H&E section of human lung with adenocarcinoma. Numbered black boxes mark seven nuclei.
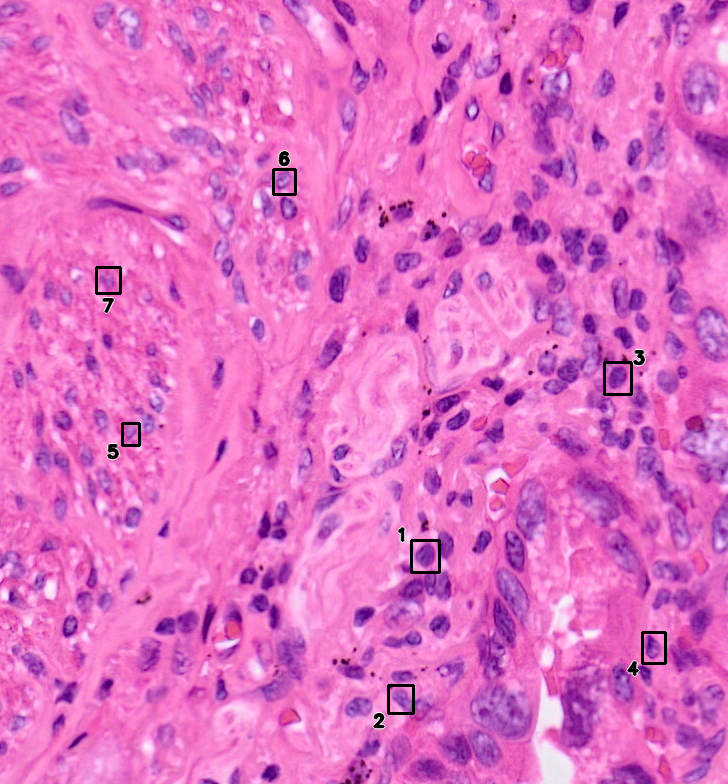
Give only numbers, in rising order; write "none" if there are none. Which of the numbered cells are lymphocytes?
1, 2, 3, 4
